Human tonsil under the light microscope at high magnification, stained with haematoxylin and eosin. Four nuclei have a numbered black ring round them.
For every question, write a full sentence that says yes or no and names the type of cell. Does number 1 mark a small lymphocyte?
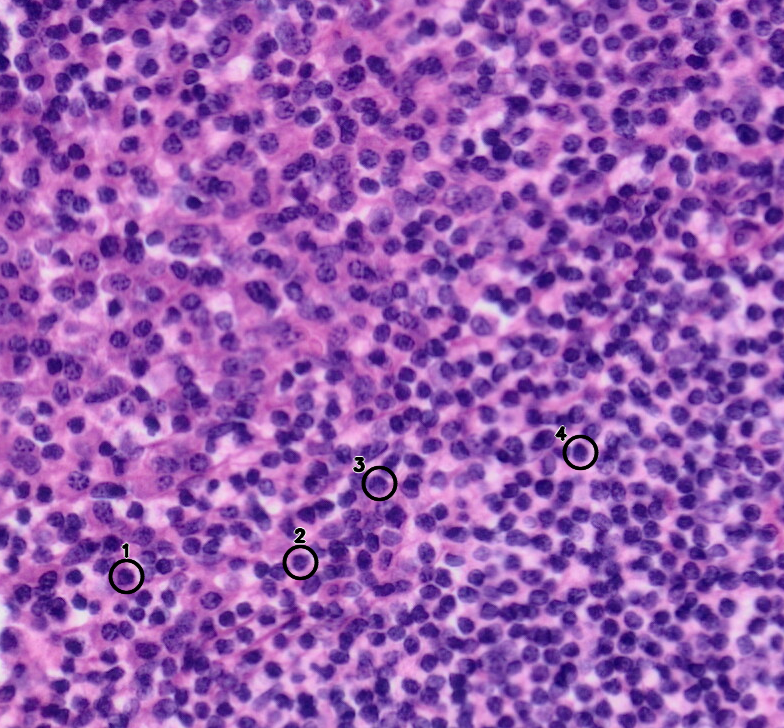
No, cell 1 is a plasma cell and should not be called a small lymphocyte.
